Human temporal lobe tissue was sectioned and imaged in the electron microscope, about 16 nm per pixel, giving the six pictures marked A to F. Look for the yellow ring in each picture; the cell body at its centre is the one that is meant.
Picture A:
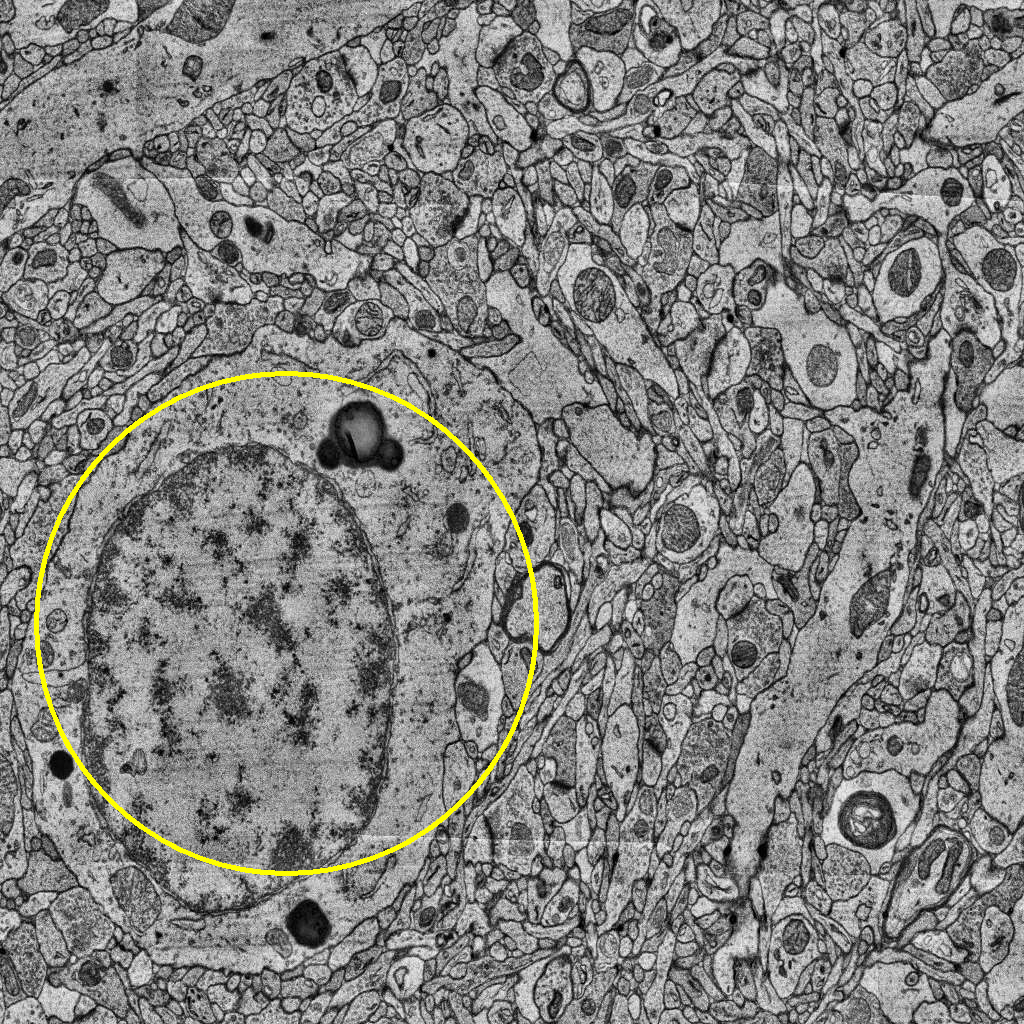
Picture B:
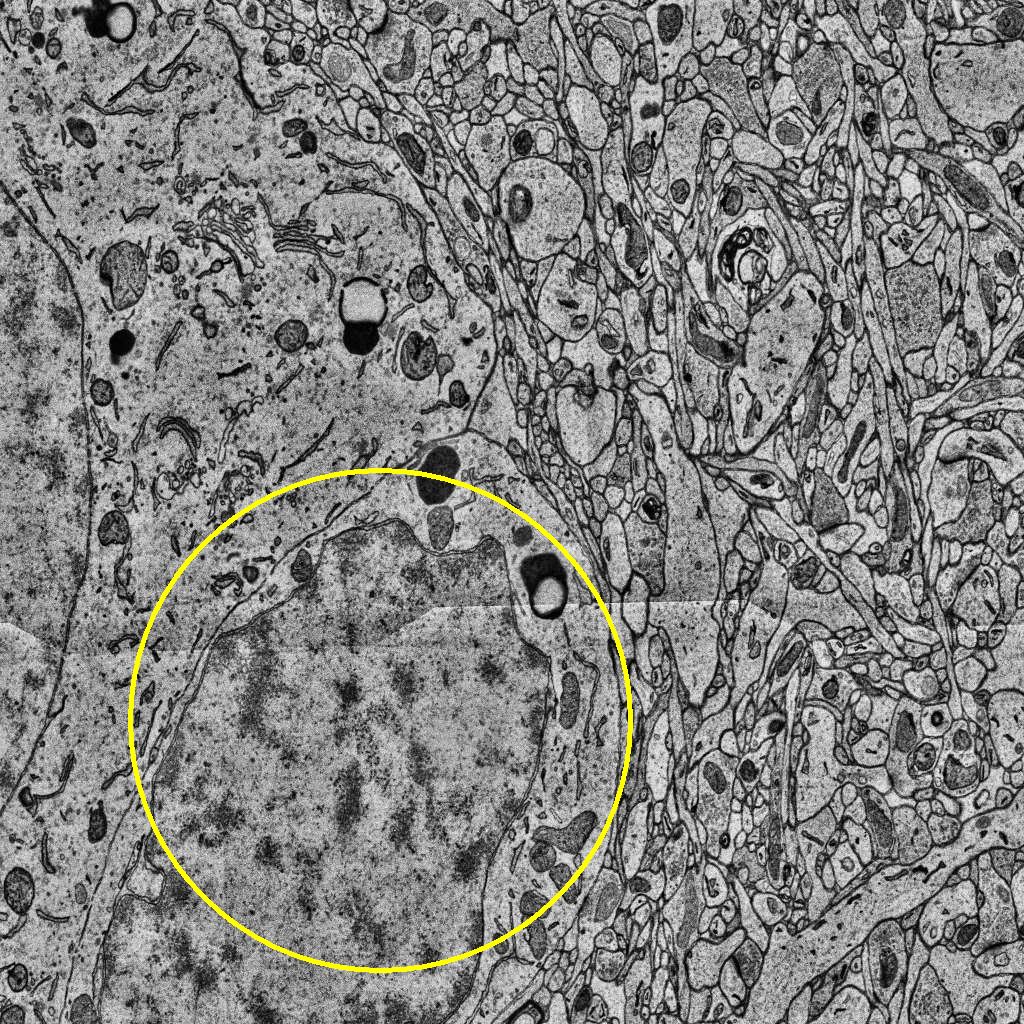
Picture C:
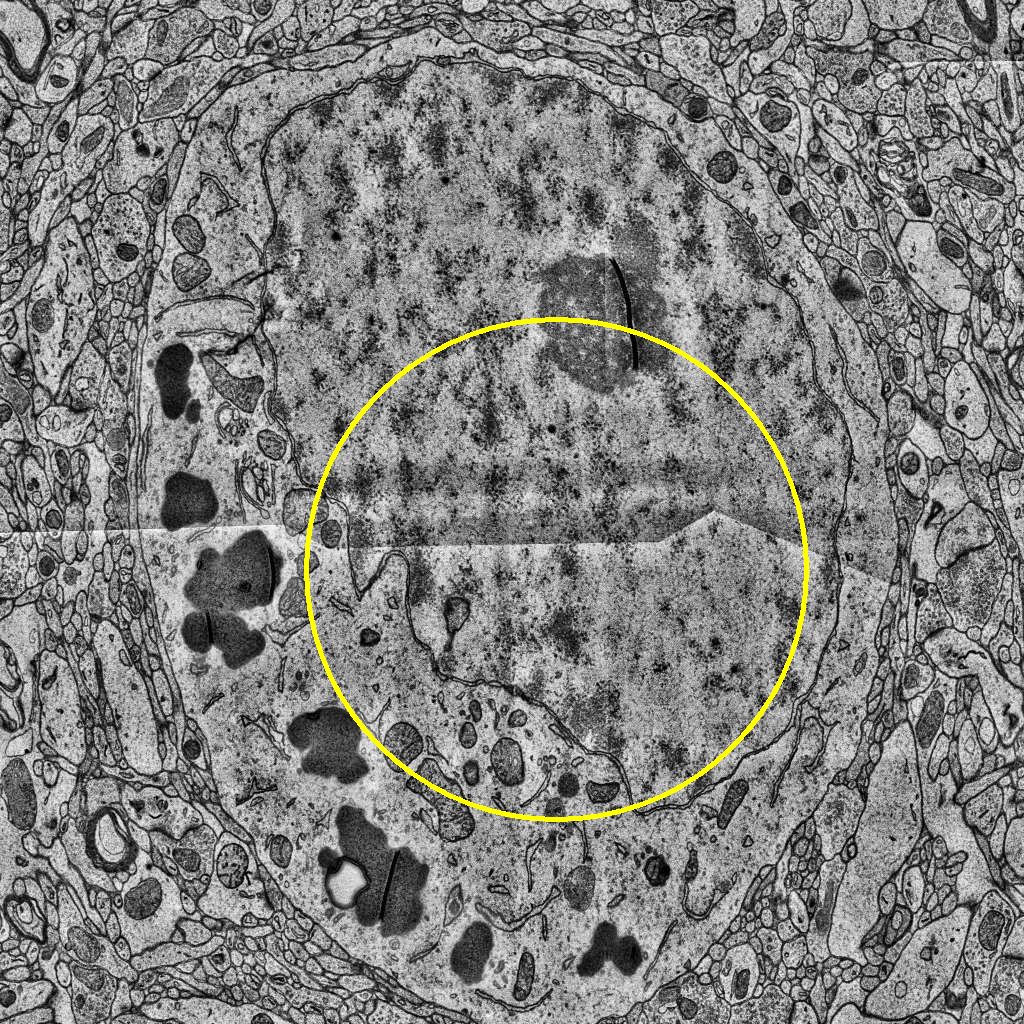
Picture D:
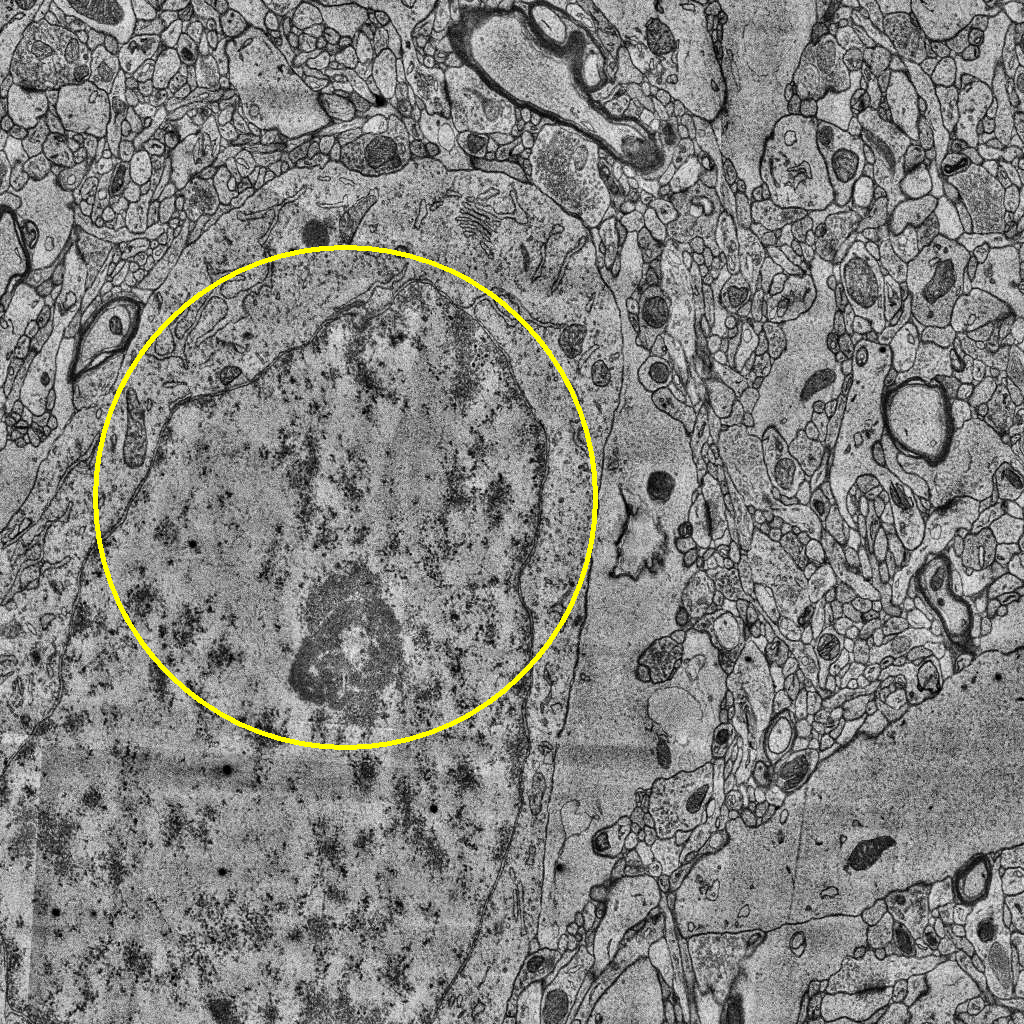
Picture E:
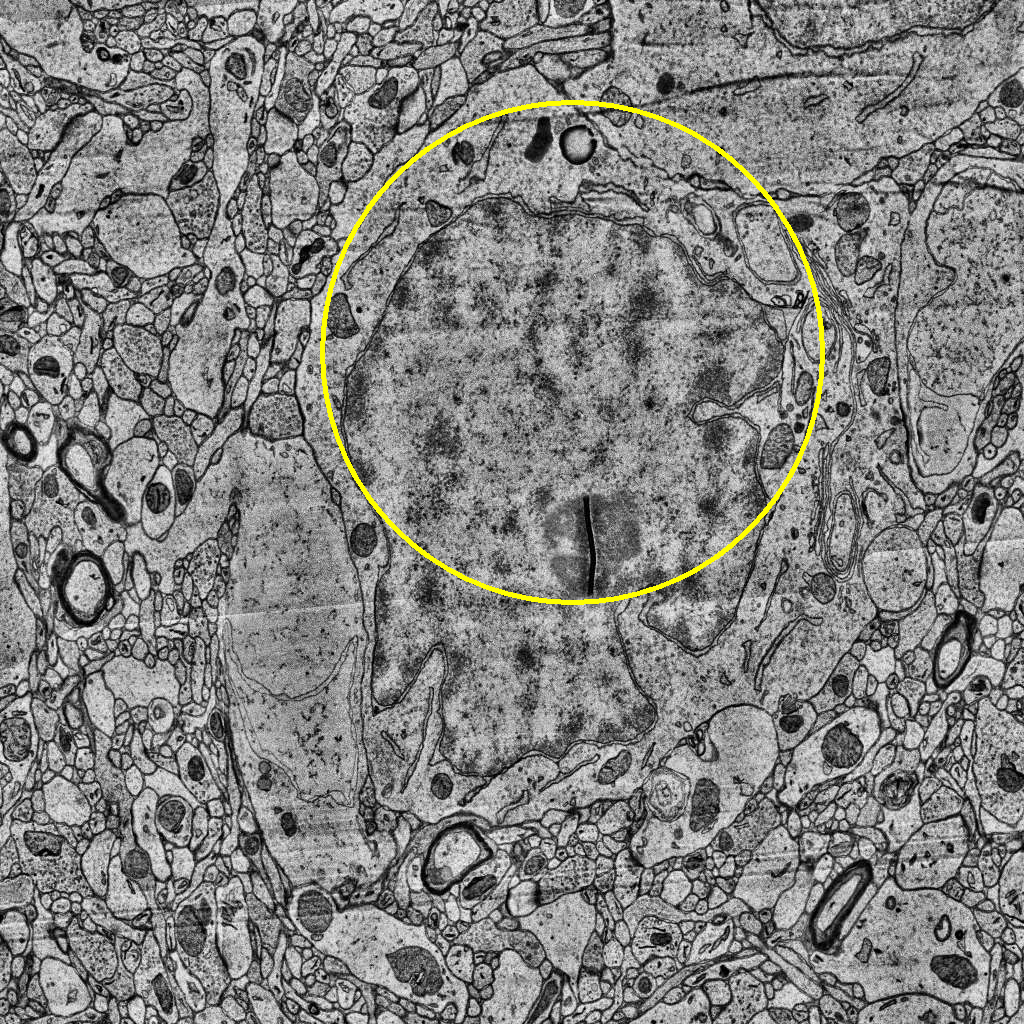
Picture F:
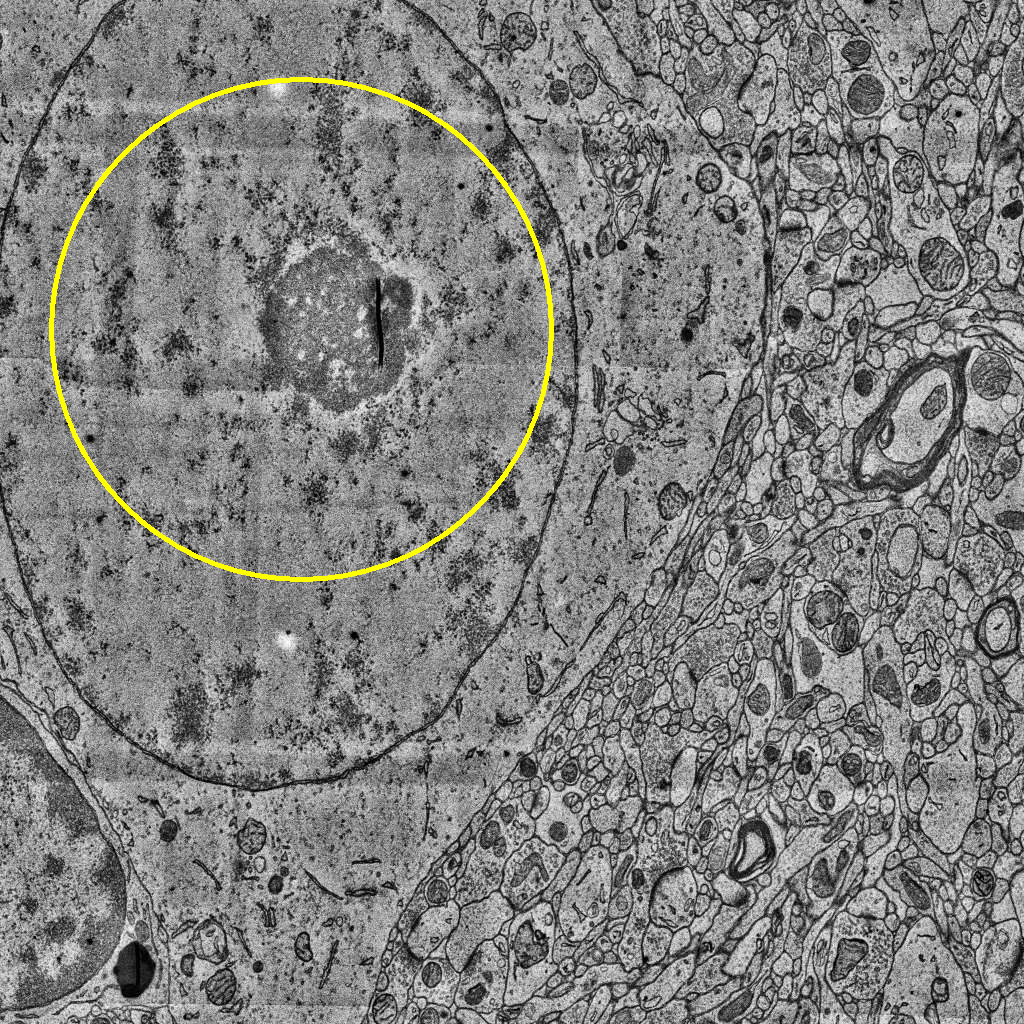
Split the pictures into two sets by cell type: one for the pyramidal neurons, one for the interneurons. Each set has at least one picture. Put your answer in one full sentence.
Pictures A and F show pyramidal neurons, and pictures B, C, D and E show interneurons.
